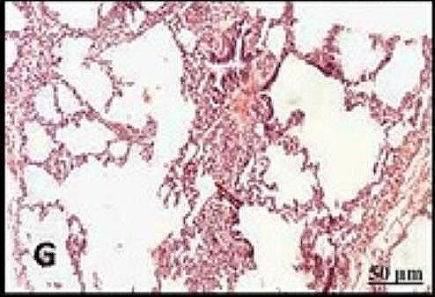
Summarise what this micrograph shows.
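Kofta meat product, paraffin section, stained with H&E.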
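Lung tissue with alveoli. Numerous rounded and irregular empty air spaces of varying size fill the field, separated by thin pink septa carrying scattered small purple nuclei. Toward the centre the septa crowd together into a denser, more cellular pink band where the spaces collapse into small slits. Larger open spaces lie at the right and lower parts of the field. No muscle fibres or fibrous bundles dominate; the architecture is a fine lace-like network of thin walls around air spaces.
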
